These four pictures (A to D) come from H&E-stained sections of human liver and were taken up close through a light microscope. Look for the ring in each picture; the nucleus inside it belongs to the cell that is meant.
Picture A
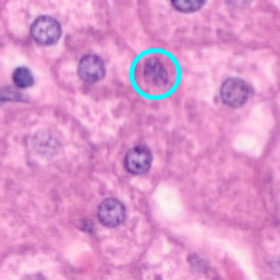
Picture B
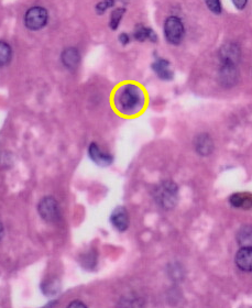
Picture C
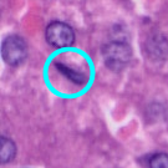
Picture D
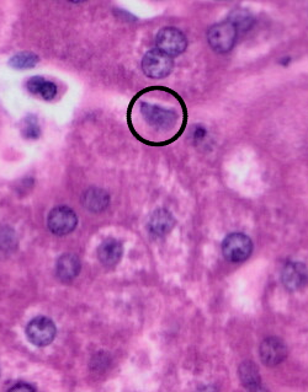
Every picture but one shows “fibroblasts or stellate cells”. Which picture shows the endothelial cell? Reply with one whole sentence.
The cell in picture D is the endothelial cell.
